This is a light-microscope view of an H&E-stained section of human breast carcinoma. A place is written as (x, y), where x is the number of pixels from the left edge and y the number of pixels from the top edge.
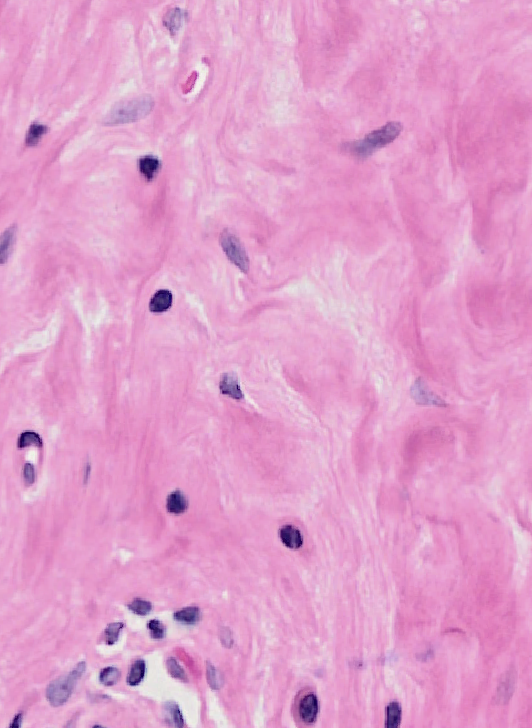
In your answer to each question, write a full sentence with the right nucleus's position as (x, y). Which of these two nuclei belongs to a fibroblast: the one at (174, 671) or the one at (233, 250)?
Assigned to a fibroblast is the nucleus located at (233, 250).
